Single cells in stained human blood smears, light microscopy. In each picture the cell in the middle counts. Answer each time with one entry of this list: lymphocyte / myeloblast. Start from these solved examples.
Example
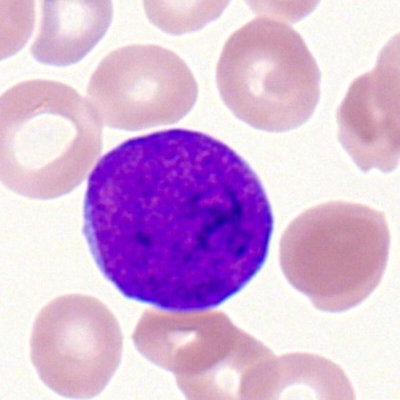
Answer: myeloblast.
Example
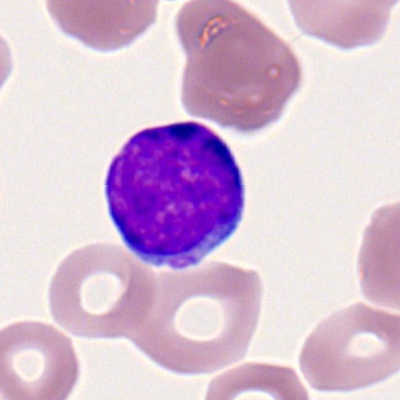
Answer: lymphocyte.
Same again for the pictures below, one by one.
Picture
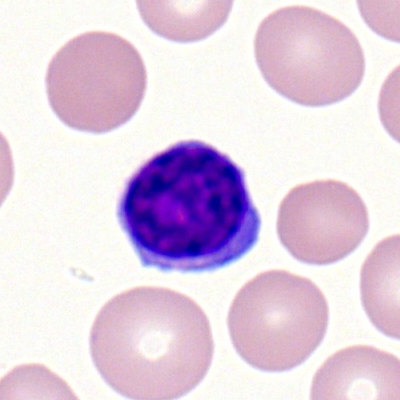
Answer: lymphocyte.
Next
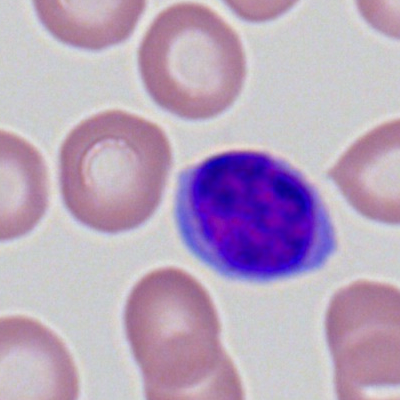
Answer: lymphocyte.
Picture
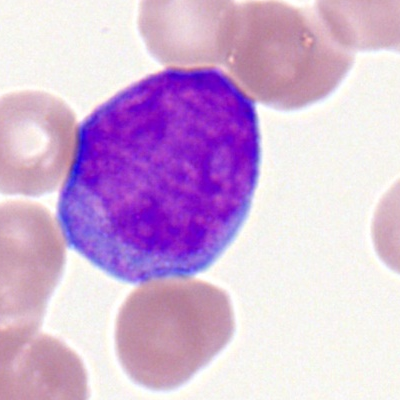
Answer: myeloblast.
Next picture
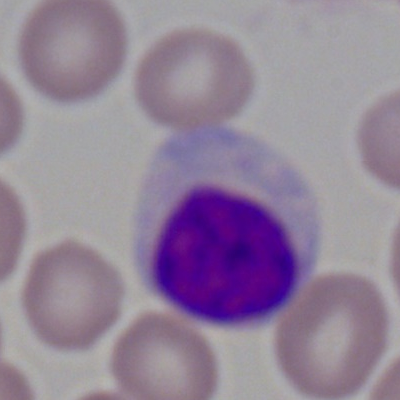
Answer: lymphocyte.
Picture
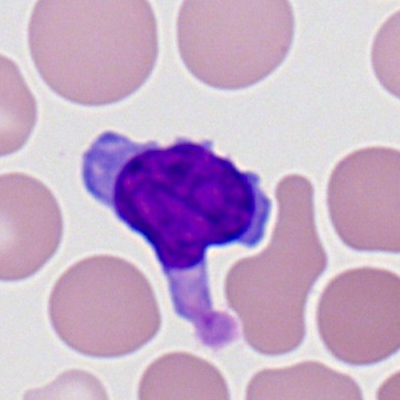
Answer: lymphocyte.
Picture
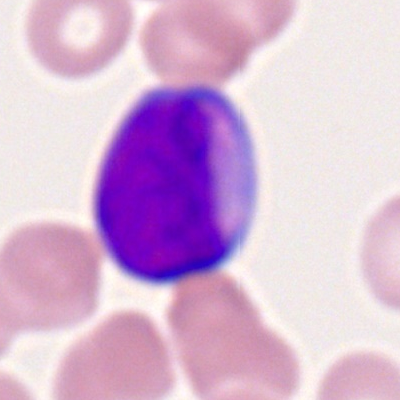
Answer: myeloblast.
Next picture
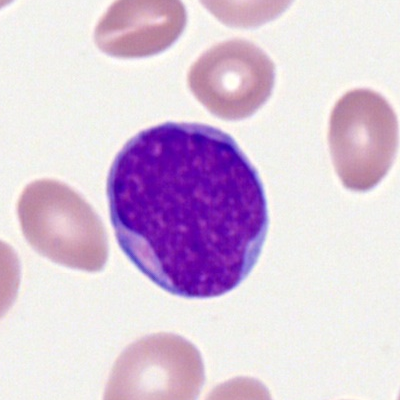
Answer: myeloblast.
